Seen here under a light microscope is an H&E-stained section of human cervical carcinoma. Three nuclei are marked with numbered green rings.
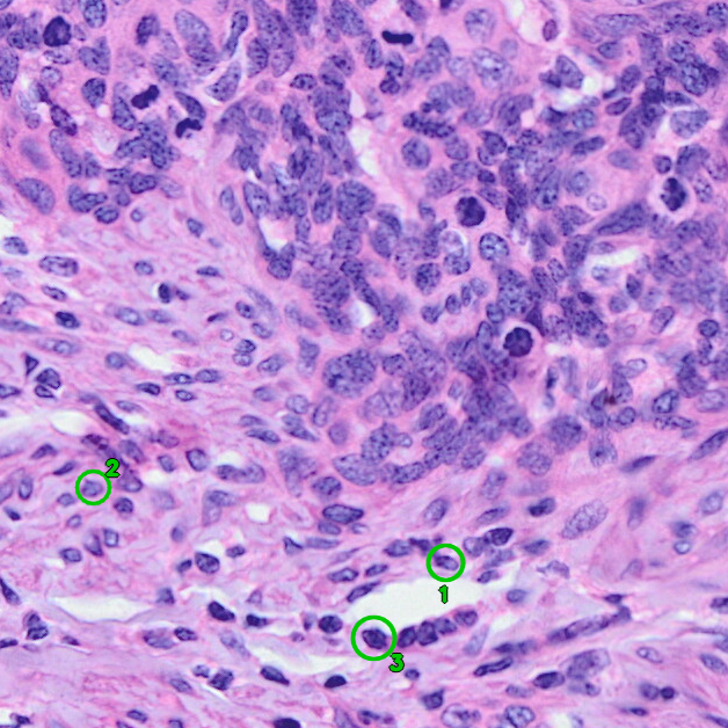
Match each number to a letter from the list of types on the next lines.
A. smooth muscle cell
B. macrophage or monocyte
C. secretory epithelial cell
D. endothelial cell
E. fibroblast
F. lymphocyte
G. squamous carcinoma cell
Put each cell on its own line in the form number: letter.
1: F
2: A
3: F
